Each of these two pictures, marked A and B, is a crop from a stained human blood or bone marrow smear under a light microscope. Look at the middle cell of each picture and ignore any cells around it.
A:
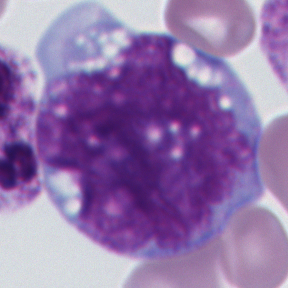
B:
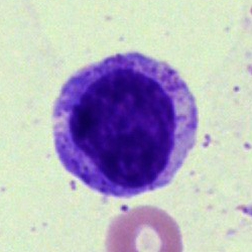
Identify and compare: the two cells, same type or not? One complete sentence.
No, a monocyte lies at the centre of crop A, and a myelocyte lies at the centre of crop B.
